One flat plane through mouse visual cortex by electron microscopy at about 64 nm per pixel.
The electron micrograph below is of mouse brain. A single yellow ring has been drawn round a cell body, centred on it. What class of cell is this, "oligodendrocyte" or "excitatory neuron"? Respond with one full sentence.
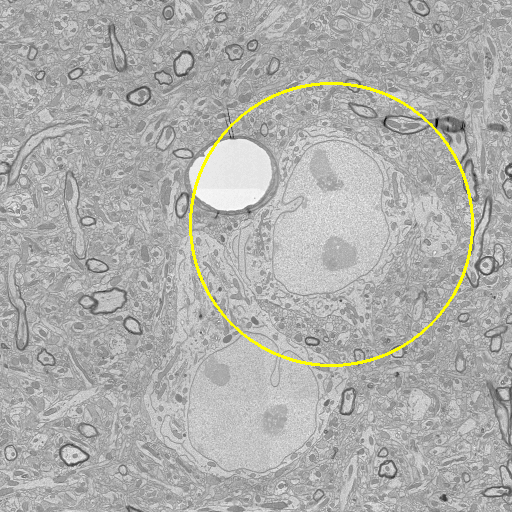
In the micrograph, the cell centred inside the yellow ring is an excitatory neuron.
